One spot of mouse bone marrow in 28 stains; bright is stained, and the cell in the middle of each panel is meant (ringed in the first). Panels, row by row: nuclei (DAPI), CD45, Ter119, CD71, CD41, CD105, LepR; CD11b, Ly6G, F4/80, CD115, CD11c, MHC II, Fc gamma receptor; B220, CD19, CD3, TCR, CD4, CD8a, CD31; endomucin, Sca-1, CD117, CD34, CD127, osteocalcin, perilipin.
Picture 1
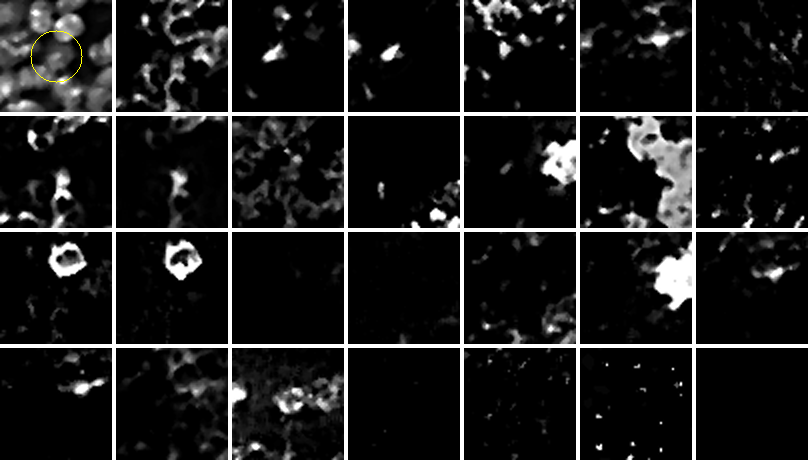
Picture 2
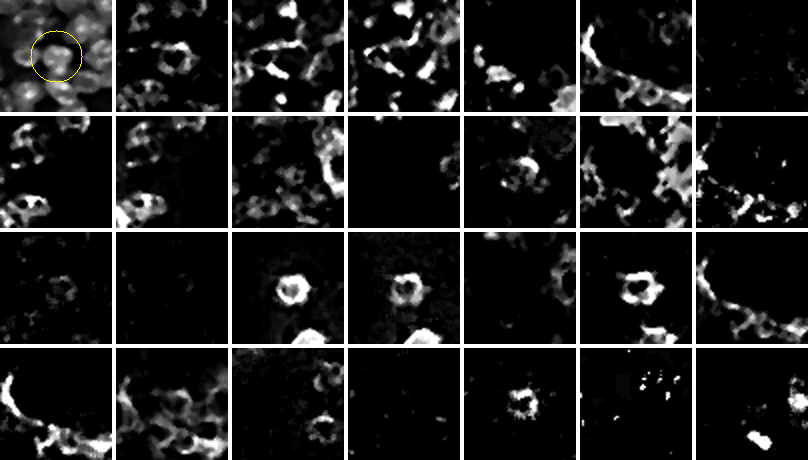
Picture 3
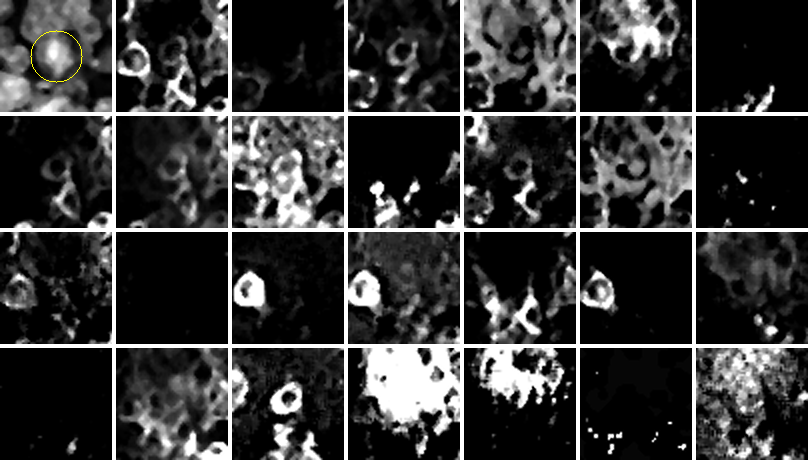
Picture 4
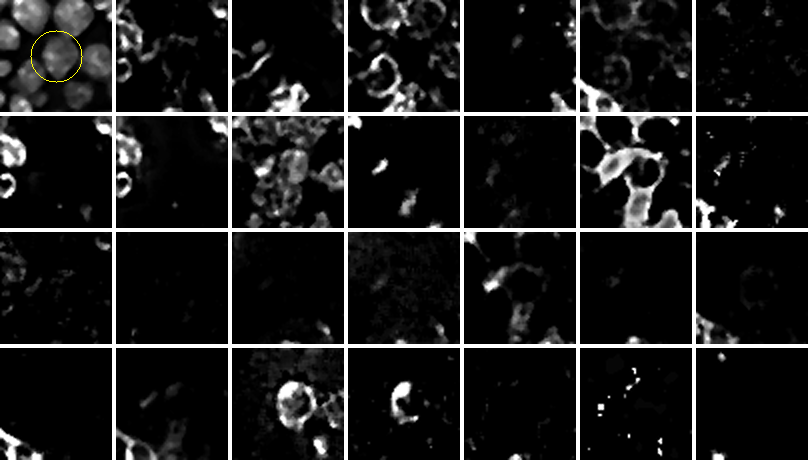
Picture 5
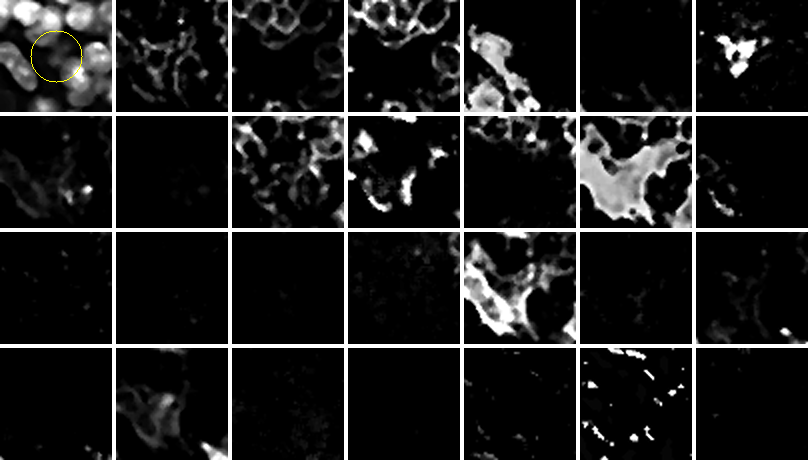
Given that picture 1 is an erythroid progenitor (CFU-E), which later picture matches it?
3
